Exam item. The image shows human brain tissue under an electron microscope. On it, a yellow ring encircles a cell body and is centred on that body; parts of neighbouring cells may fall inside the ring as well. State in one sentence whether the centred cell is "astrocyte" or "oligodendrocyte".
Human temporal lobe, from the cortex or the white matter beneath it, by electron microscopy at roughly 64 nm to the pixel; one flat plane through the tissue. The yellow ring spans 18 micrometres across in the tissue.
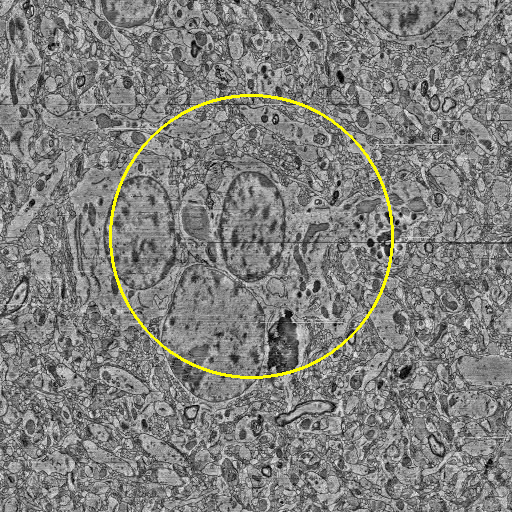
The cell body centred in the ring is an astrocyte.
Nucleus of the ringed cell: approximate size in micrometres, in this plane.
In this plane, about 7 by 4 micrometres: the nucleus is clearly longer than it is wide.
